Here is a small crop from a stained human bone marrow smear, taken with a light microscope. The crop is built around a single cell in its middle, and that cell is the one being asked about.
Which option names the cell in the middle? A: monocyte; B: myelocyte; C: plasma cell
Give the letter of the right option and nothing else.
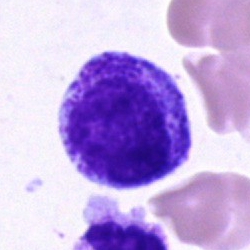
B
